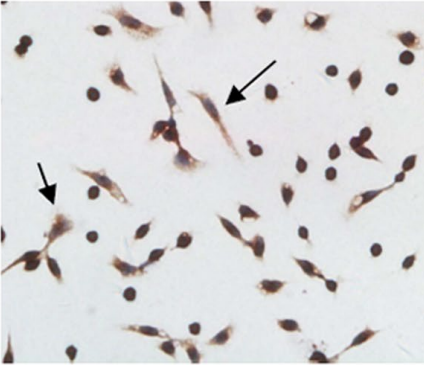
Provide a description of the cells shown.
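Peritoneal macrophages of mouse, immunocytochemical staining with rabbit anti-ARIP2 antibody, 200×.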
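Brown staining fills the cytoplasm of the cell body and extends into the processes. The cells lie mostly singly or in small loose groups and do not form a continuous sheet.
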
